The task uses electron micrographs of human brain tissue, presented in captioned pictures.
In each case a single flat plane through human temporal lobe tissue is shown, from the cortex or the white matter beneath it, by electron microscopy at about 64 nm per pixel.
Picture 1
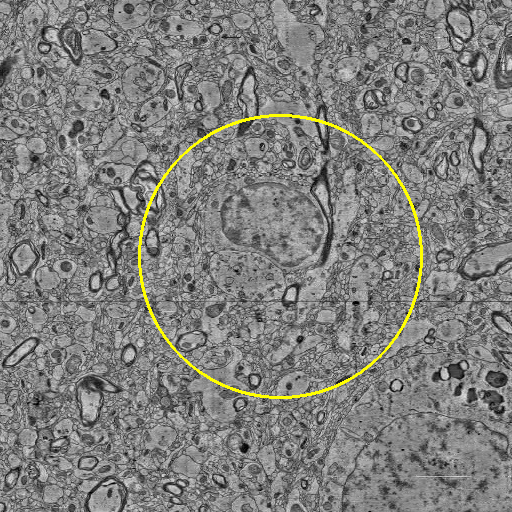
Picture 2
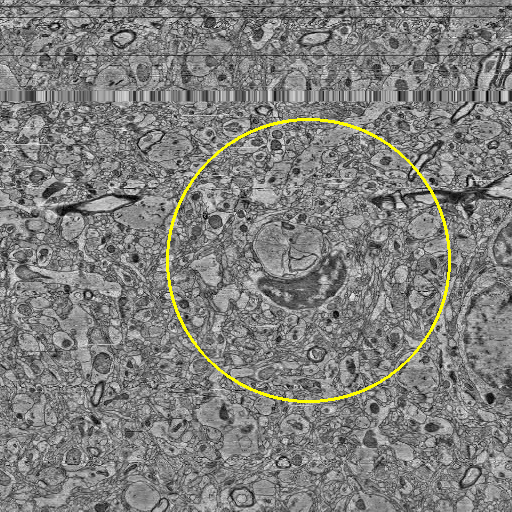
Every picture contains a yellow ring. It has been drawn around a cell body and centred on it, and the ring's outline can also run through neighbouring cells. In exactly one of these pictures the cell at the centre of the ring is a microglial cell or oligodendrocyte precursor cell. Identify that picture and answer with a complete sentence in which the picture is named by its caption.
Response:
The ring in Picture 2 is centred on that kind of cell.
